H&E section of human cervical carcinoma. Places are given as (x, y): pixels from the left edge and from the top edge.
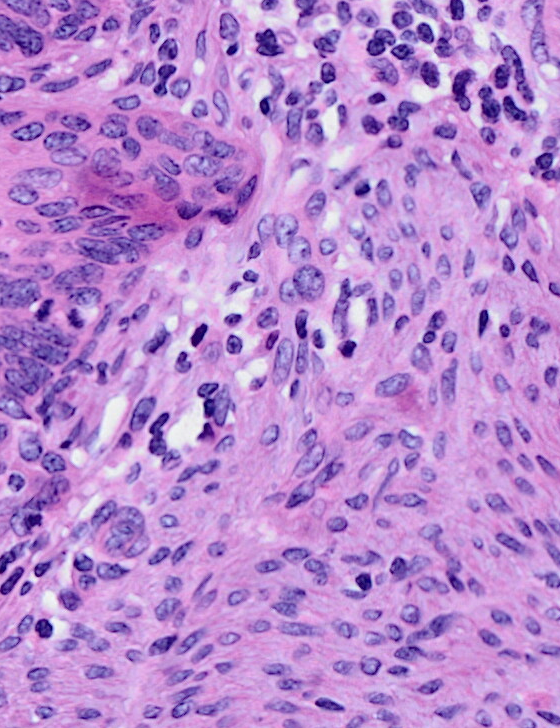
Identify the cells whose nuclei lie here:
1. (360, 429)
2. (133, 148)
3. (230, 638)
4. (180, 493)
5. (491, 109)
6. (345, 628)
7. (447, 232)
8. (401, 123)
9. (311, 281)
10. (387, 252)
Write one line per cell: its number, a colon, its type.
1: smooth muscle cell
2: squamous carcinoma cell
3: smooth muscle cell
4: smooth muscle cell
5: lymphocyte
6: smooth muscle cell
7: smooth muscle cell
8: lymphocyte
9: endothelial cell
10: smooth muscle cell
